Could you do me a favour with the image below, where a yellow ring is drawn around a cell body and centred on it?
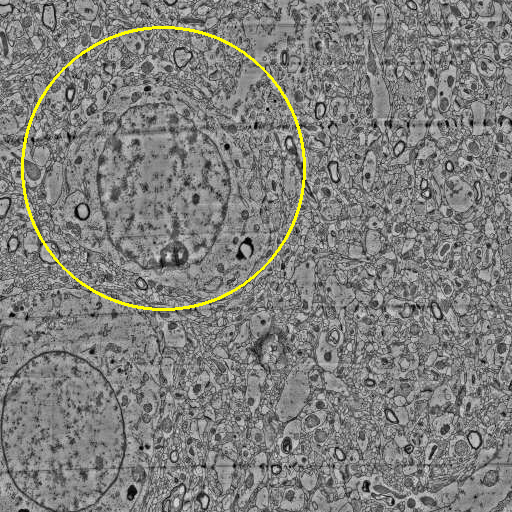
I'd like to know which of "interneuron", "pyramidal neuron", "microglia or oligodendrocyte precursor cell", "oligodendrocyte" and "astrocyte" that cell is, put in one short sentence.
The cell at the ring's centre is an interneuron.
